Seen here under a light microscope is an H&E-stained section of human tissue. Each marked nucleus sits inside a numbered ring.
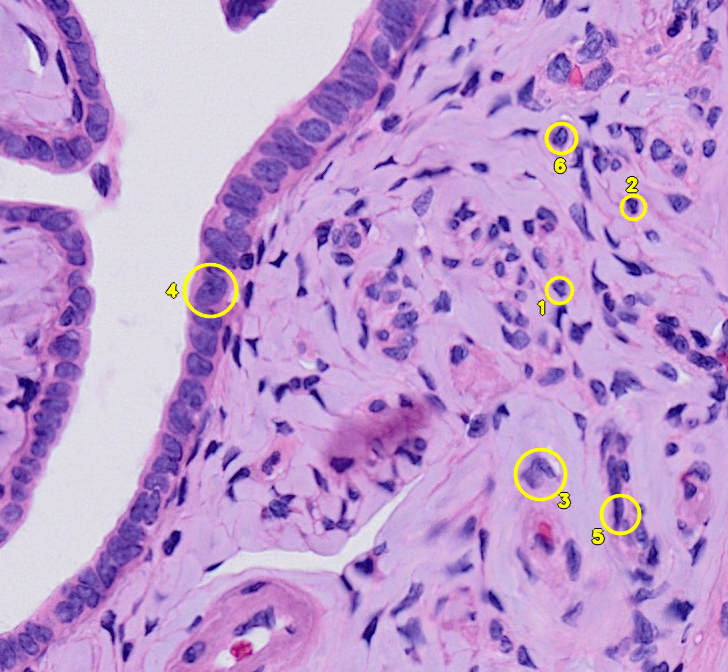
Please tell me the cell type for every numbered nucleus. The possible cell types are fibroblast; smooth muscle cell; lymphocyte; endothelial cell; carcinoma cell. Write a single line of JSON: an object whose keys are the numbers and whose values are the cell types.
{"1": "smooth muscle cell", "2": "smooth muscle cell", "3": "fibroblast", "4": "carcinoma cell", "5": "endothelial cell", "6": "endothelial cell"}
